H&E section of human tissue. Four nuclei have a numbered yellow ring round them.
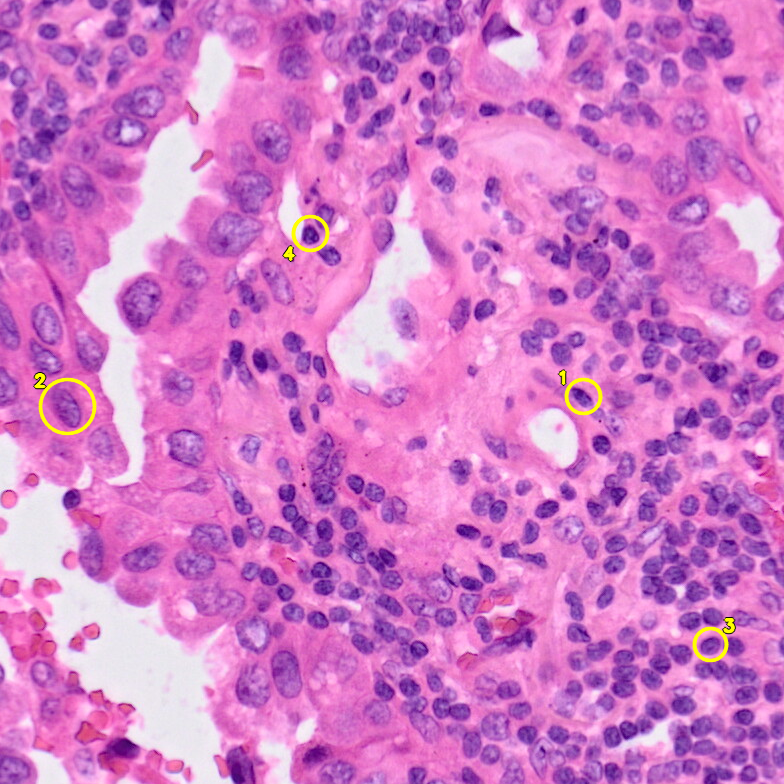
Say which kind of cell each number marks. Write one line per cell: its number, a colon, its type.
1: lymphocyte
2: carcinoma cell
3: lymphocyte
4: lymphocyte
